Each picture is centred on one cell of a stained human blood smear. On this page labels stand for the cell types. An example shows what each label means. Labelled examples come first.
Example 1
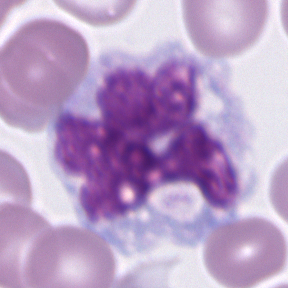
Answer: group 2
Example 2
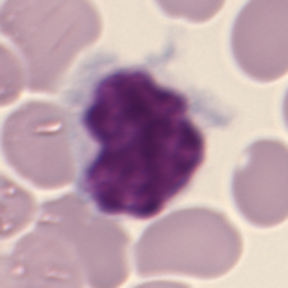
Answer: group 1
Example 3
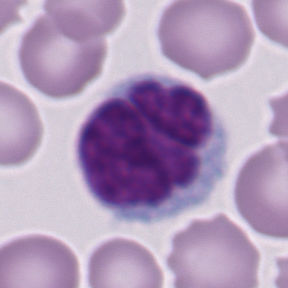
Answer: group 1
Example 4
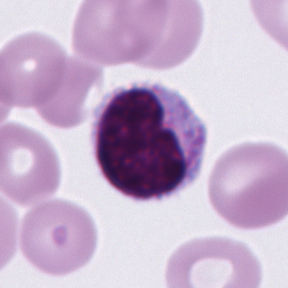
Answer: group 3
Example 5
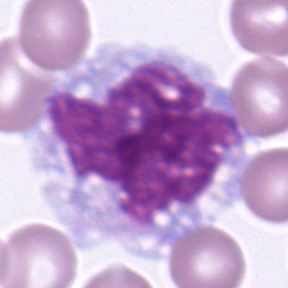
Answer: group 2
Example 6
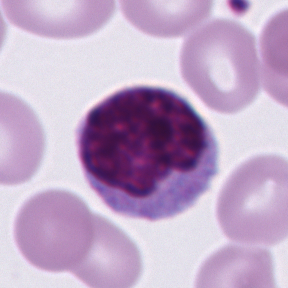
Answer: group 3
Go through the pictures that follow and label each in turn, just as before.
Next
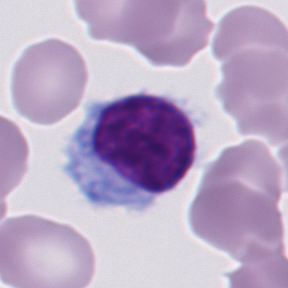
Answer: group 1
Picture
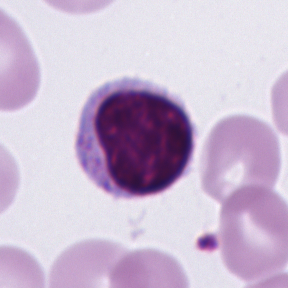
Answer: group 3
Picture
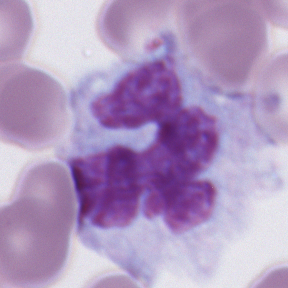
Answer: group 2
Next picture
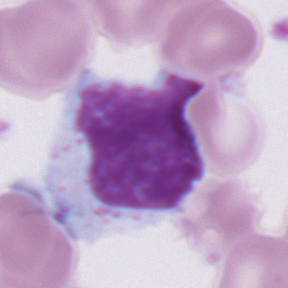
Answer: group 3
